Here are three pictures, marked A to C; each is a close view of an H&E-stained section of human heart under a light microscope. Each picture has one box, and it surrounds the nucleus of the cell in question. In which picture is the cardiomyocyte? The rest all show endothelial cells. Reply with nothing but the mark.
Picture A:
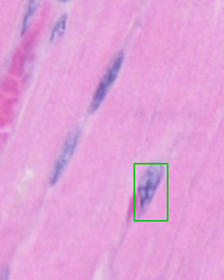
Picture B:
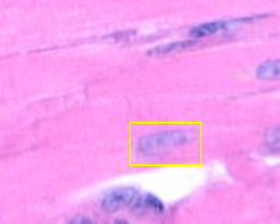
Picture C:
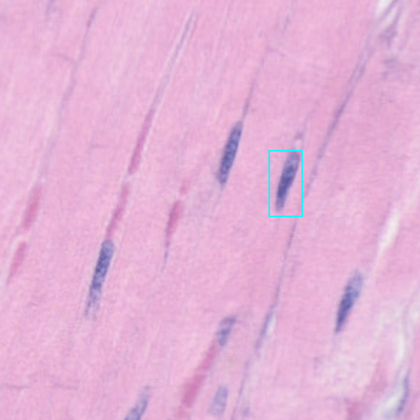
B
